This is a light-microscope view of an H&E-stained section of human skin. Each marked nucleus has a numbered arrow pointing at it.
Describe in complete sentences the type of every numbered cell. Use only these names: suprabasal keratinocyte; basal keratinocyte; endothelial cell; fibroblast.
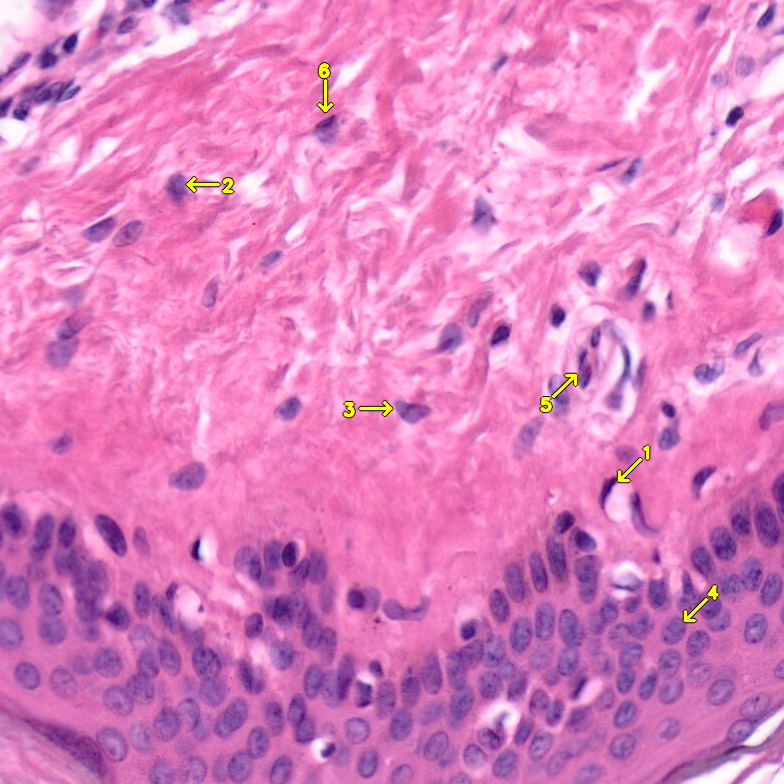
Cell 1 is a fibroblast, cell 2 is a fibroblast, cell 3 is a fibroblast, cell 4 is a suprabasal keratinocyte, cell 5 is an endothelial cell and cell 6 is a fibroblast.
